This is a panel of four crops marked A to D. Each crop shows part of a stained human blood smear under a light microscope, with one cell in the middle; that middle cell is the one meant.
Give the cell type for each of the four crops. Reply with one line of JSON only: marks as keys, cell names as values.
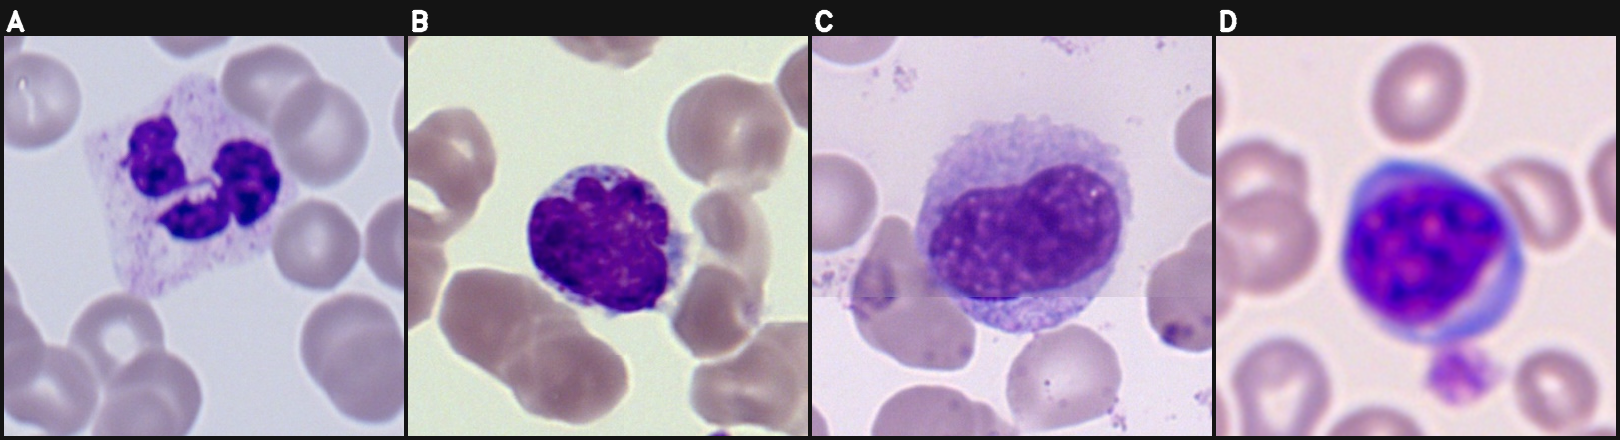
{"A": "segmented neutrophil", "B": "lymphocyte", "C": "monocyte", "D": "lymphocyte"}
